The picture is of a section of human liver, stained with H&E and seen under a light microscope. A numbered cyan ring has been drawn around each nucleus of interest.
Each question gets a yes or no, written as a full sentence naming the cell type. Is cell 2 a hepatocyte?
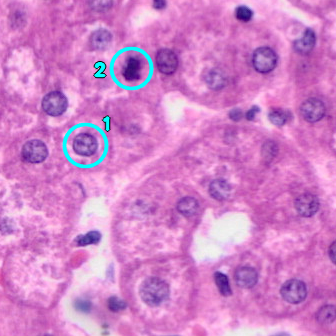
No, the marked cell 2 is not a hepatocyte, being instead a fibroblast or stellate cell.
